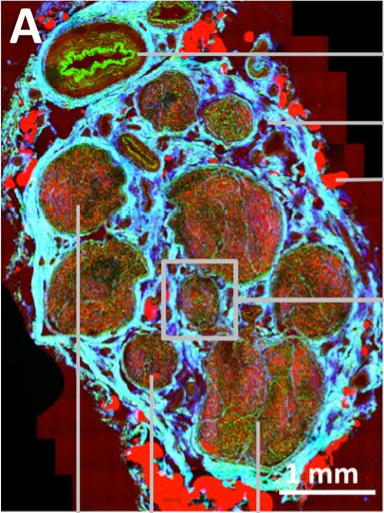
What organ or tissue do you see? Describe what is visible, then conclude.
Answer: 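A cross-section made of several large rounded compartments embedded in fibrous tissue. A sheath of fibrous tissue surrounds the whole bundle of compartments. So: peripheral nerve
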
